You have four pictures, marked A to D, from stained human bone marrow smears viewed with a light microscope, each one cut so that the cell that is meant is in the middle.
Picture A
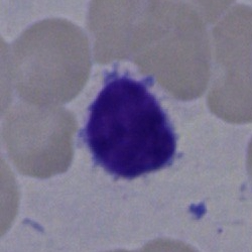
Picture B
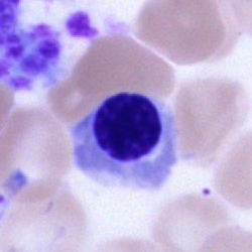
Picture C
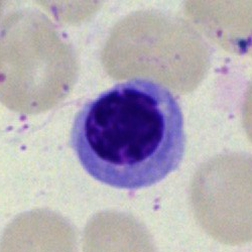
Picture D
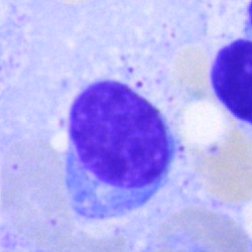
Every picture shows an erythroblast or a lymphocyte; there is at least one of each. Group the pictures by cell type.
A: lymphocyte
B: erythroblast
C: erythroblast
D: lymphocyte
